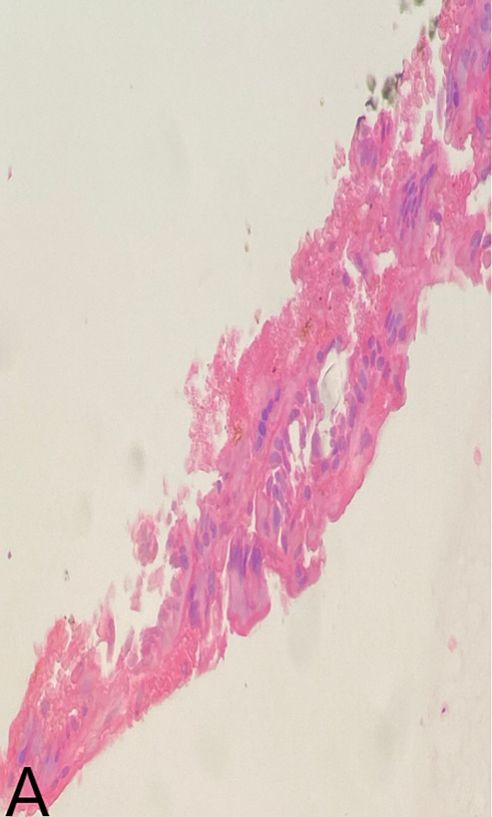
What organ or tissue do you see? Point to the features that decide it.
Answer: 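Regular columnar epithelium. A cohesive strip of cells runs diagonally across the field. Nuclei are oval to elongated and purple, of fairly uniform size. Cells are taller than wide, with pink cytoplasm.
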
